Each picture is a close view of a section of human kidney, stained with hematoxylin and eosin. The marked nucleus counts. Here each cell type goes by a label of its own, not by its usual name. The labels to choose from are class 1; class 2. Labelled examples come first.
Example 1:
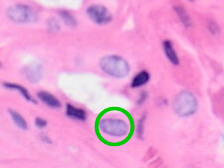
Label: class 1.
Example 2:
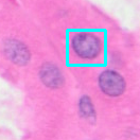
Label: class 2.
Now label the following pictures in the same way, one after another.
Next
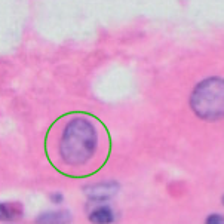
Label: class 2.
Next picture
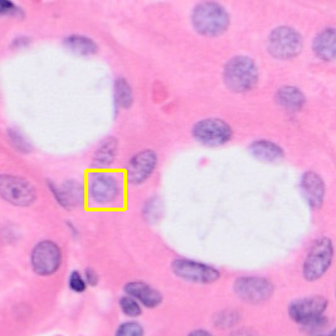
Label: class 1.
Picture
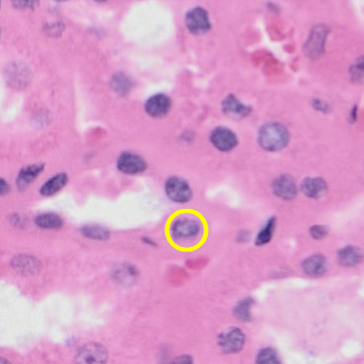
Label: class 1.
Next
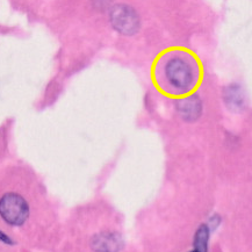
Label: class 2.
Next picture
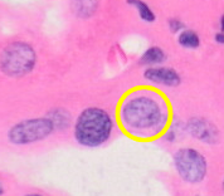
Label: class 1.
